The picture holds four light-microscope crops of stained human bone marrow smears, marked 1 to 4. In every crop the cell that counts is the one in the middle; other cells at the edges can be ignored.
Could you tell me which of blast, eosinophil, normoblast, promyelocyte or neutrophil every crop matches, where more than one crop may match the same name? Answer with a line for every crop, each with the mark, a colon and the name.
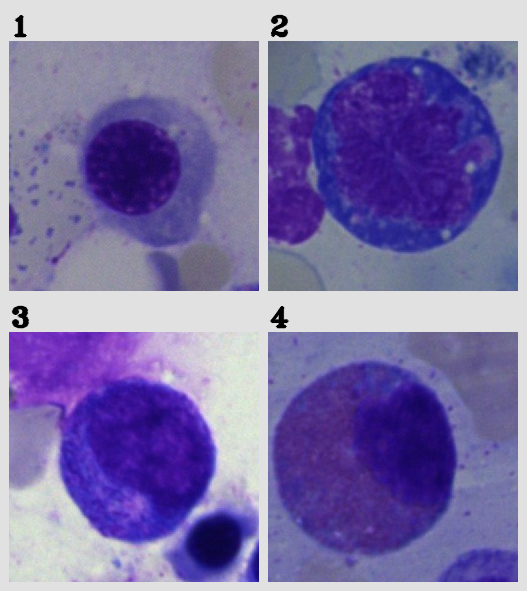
1: normoblast
2: blast
3: promyelocyte
4: eosinophil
